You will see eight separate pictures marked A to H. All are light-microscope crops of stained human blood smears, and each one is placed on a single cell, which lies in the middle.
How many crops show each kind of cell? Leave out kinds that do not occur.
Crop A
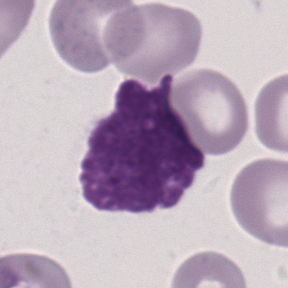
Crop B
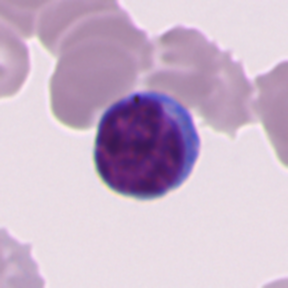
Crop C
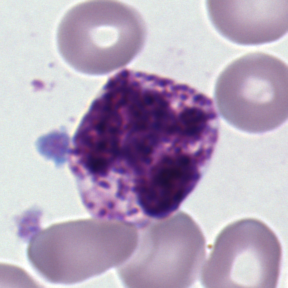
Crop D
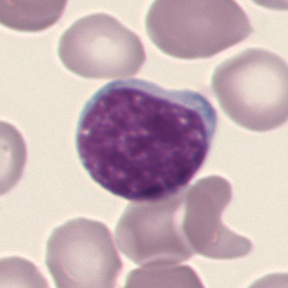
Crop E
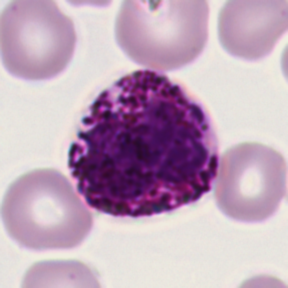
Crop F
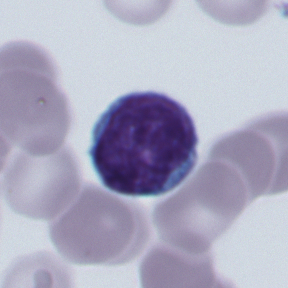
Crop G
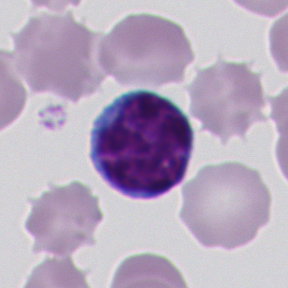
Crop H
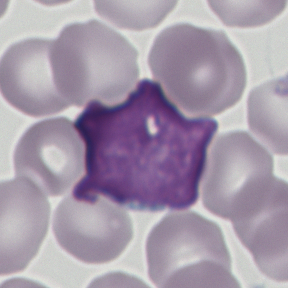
typical lymphocyte: 5
basophil: 2
smudge cell: 1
